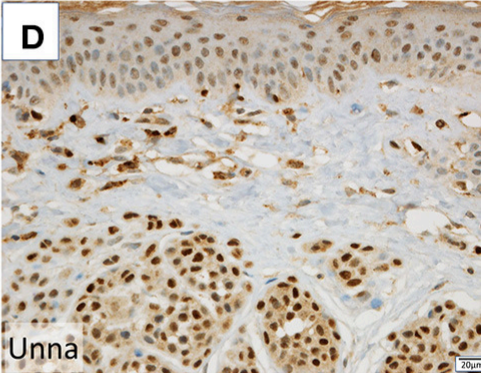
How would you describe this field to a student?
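This is skin from a benign nevus, with the squamous epidermis along the top and nests of nevus cells filling the dermis below. The epidermis shows layered keratinocytes with pale brown cytoplasm and many brown-tinged nuclei. Beneath it, loose pale-blue dermal stroma holds scattered elongated and irregular cells with dark brown nuclei. Lower down, the nevus cells gather in rounded, well-circumscribed nests. Each nest is packed with small, uniform cells with oval nuclei that stain strongly brown. The cytoplasm of these cells is scant and pale. Thin strands of stroma separate neighbouring nests.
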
